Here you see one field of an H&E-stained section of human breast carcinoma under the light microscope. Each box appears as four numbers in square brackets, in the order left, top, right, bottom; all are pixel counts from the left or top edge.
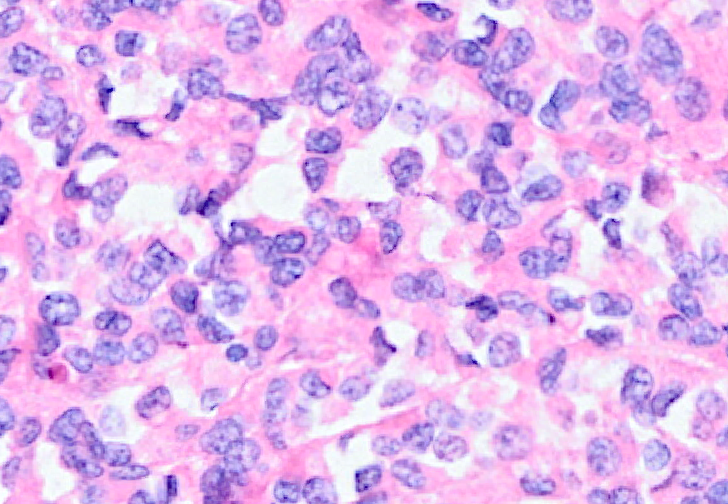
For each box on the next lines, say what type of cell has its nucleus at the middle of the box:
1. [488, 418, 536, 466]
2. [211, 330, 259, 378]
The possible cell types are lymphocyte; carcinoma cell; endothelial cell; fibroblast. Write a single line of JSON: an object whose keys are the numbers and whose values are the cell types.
{"1": "carcinoma cell", "2": "lymphocyte"}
